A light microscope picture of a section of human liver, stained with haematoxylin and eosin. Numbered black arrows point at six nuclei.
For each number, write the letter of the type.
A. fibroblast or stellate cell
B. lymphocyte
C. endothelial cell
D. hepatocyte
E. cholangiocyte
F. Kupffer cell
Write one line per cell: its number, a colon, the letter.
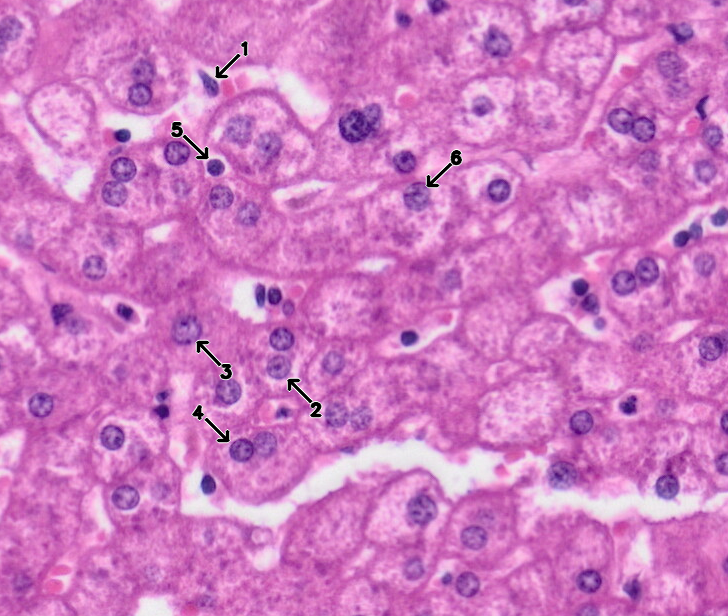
1: B
2: D
3: D
4: D
5: B
6: D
